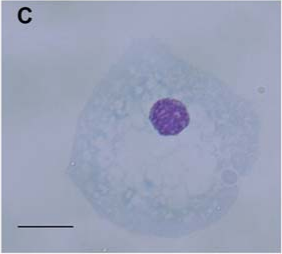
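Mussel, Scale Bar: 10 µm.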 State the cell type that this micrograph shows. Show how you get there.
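A single isolated cell with one small, round, purple-stained nucleus. A broad, pale blue cytoplasm spread around the nucleus in a roughly rounded outline.
Hemocytes.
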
